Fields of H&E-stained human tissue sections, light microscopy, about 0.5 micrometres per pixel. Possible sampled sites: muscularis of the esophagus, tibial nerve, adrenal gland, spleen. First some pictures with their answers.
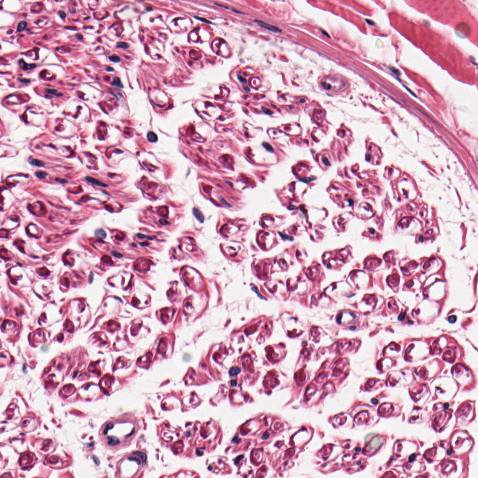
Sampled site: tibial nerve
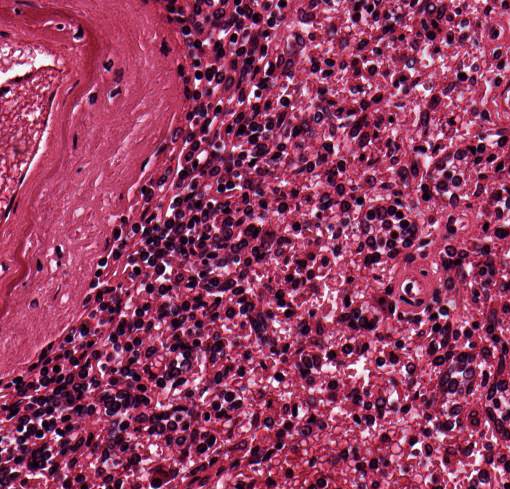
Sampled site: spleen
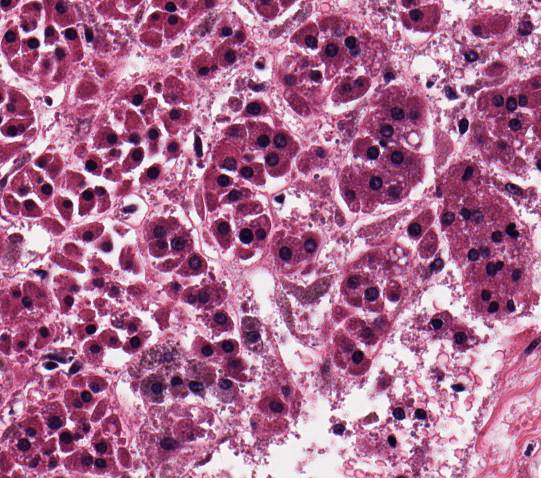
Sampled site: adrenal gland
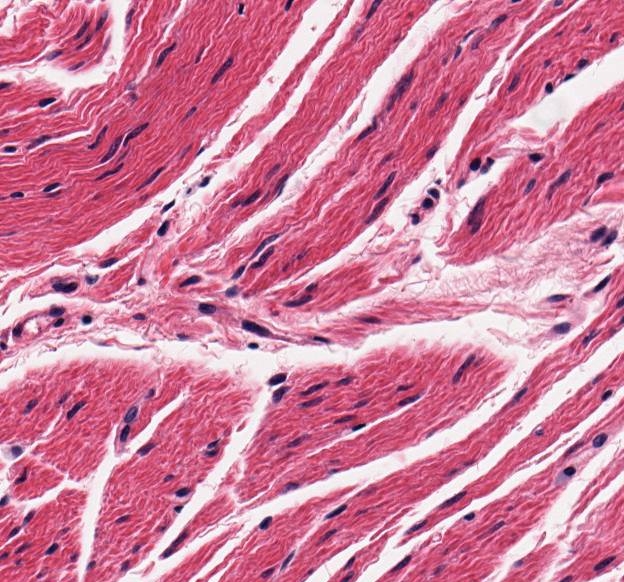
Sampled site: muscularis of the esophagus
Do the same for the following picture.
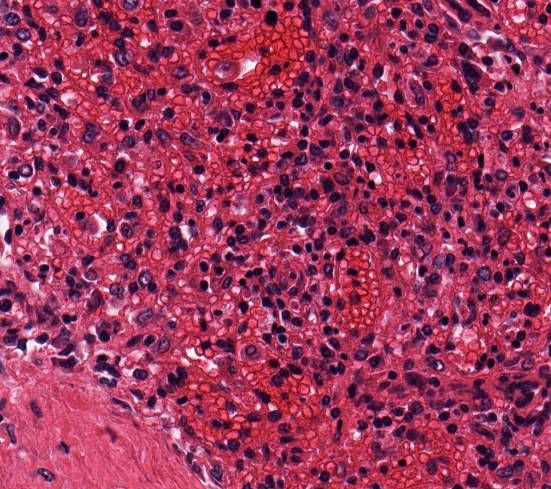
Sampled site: spleen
